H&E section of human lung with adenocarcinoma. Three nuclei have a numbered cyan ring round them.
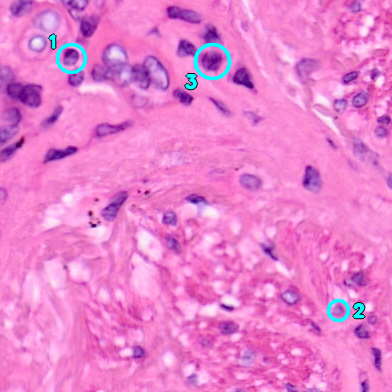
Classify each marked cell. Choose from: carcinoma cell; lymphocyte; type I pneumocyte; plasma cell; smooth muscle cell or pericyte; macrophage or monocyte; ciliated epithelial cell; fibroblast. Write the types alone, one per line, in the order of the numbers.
lymphocyte
smooth muscle cell or pericyte
plasma cell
